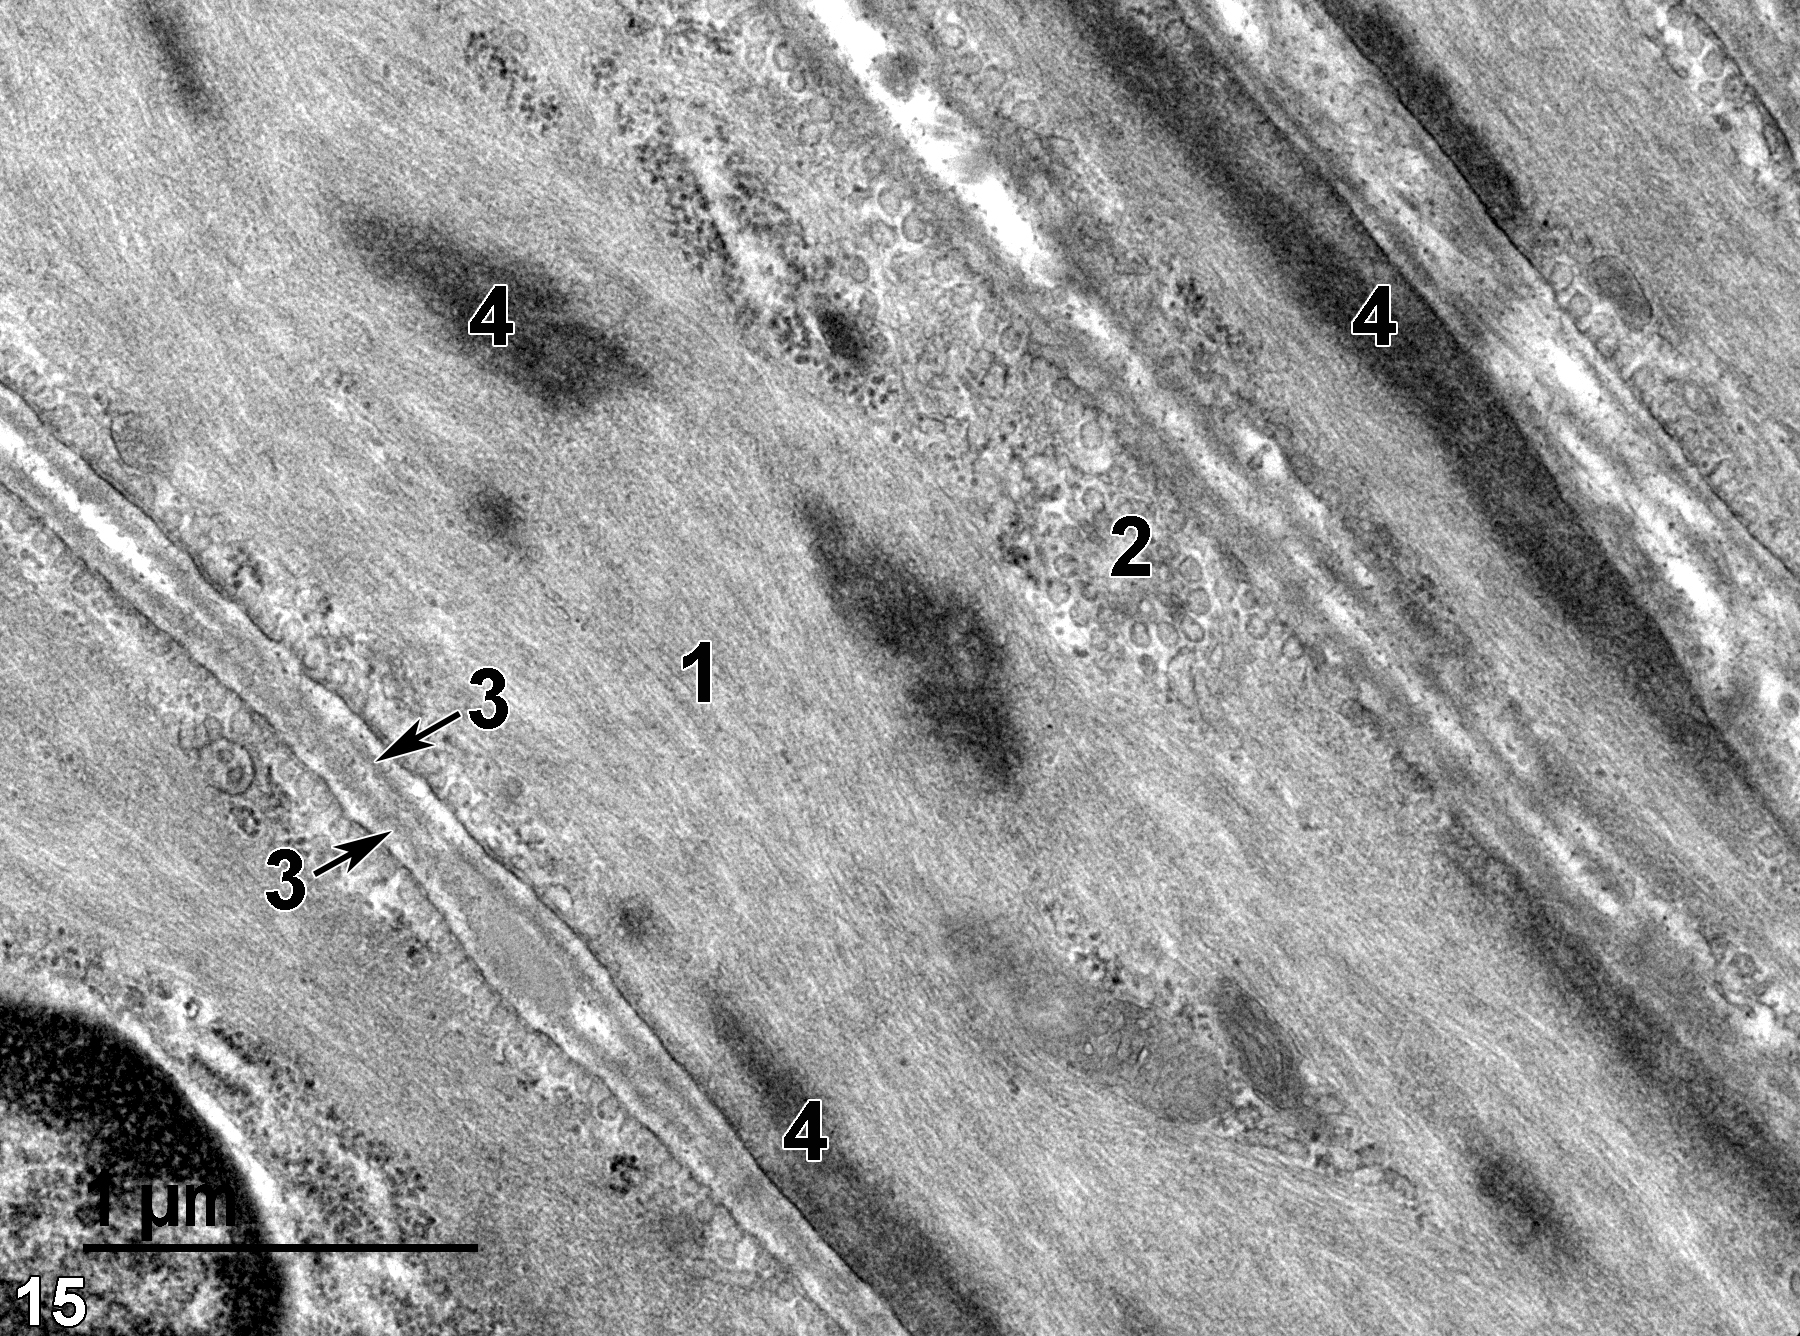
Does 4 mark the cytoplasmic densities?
Yes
